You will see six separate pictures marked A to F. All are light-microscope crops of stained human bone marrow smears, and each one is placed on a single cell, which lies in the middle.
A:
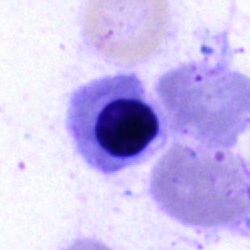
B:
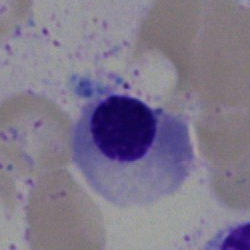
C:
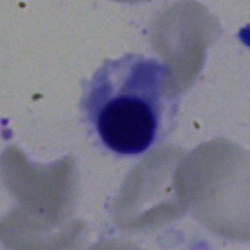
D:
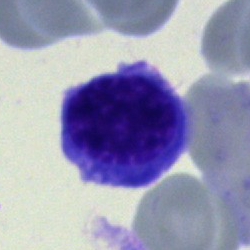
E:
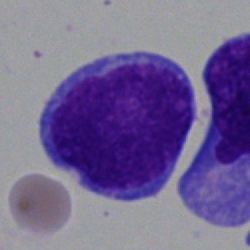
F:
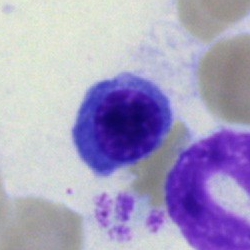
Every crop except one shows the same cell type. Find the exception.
E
